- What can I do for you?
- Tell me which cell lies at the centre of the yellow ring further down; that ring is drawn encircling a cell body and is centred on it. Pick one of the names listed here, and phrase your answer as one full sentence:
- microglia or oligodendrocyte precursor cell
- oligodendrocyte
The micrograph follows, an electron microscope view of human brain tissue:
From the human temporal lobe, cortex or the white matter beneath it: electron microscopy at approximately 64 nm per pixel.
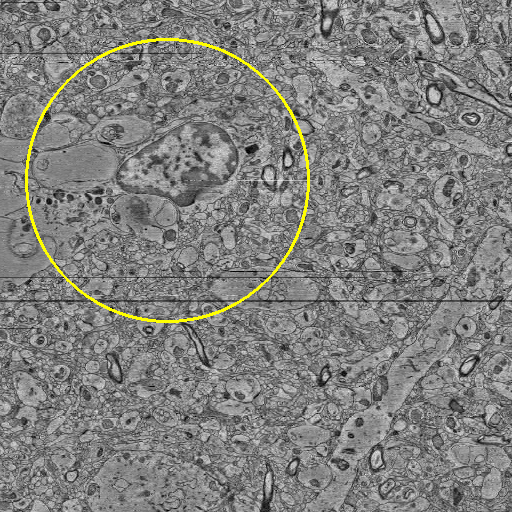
The cell whose body lies at the centre of the yellow ring is a microglial cell or oligodendrocyte precursor cell.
